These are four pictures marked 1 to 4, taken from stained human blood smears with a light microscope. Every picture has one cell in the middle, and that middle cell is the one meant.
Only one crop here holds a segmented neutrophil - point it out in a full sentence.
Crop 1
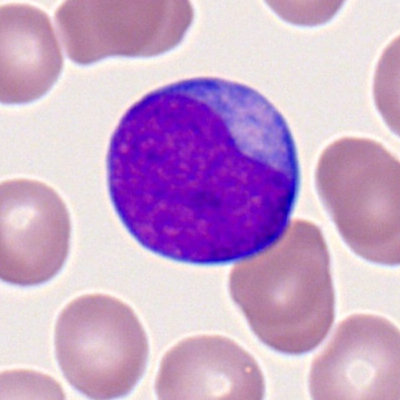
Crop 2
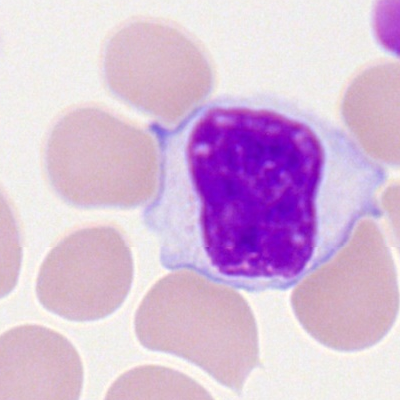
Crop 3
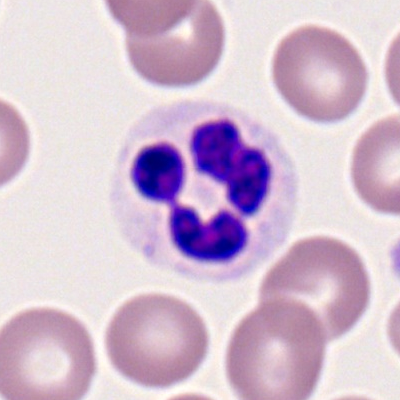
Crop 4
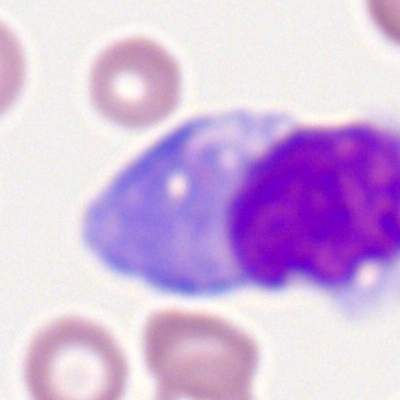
The crop marked 3 is the one in which a segmented neutrophil is shown.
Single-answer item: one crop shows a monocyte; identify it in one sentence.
Crop 4 is the right one; it is the crop showing a monocyte.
